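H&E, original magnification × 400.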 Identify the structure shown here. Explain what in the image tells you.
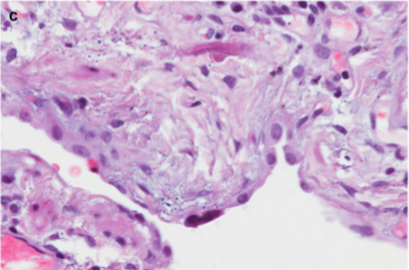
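Fibroblastic foci. Spindle-shaped cells with elongated nuclei lie in a pale bluish loose matrix. The focus bulges under a lining layer of cells.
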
